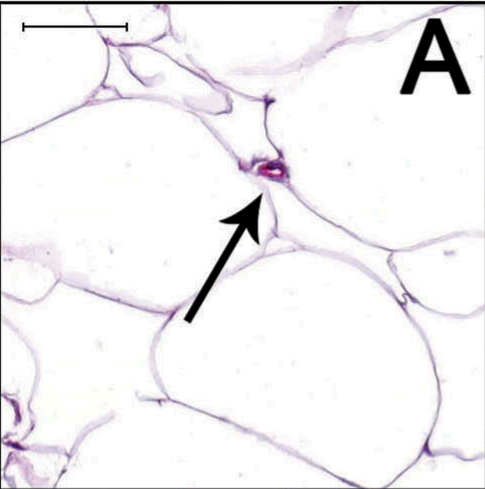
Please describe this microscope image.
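Adipose tissue with a small vessel between fat cells. Large, mostly rounded or polygonal clear spaces are separated by thin, faintly purple walls with few nuclei. At a junction of three cells lies a small ring-shaped profile with a narrow lumen, its lining stained red.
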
